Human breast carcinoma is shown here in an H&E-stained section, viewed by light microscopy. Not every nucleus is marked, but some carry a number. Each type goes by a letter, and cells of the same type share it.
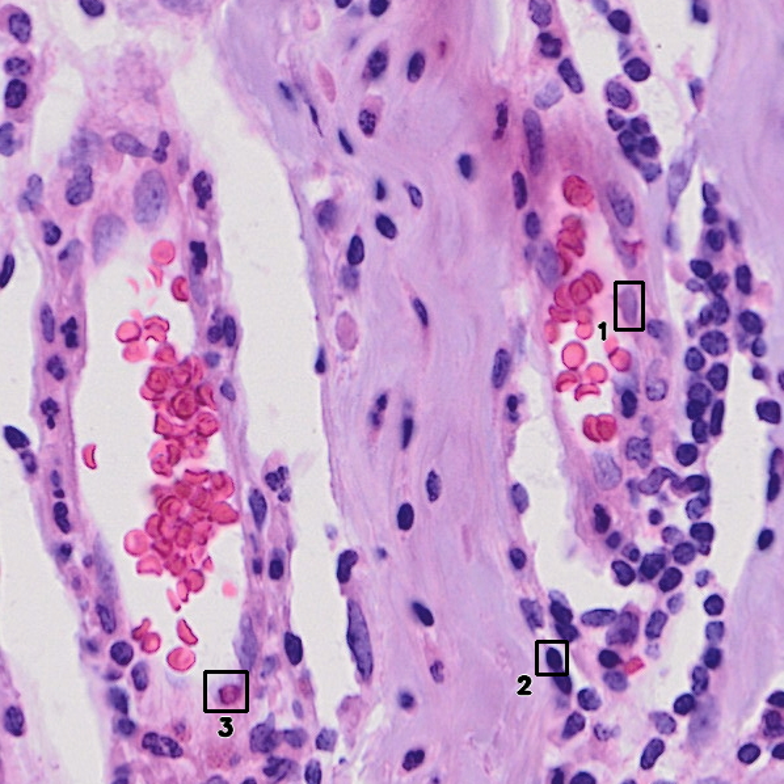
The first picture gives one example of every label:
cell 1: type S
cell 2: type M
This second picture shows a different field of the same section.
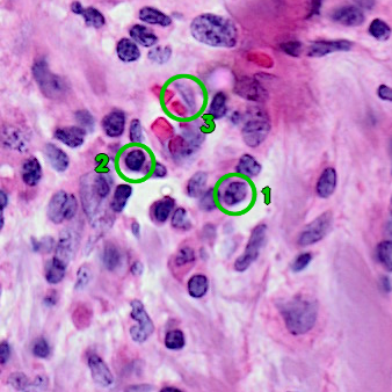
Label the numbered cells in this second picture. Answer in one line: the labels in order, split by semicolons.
type M; type M; type S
